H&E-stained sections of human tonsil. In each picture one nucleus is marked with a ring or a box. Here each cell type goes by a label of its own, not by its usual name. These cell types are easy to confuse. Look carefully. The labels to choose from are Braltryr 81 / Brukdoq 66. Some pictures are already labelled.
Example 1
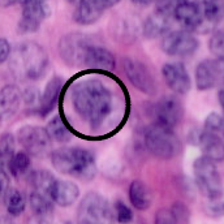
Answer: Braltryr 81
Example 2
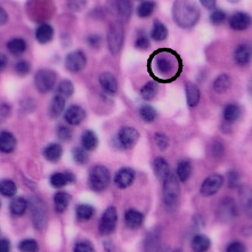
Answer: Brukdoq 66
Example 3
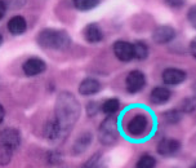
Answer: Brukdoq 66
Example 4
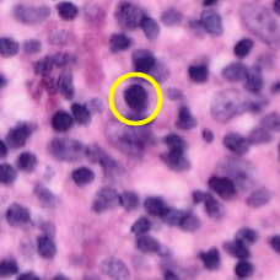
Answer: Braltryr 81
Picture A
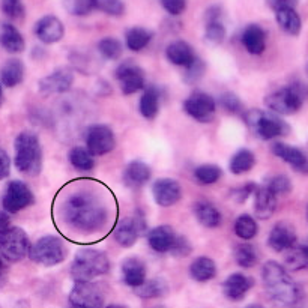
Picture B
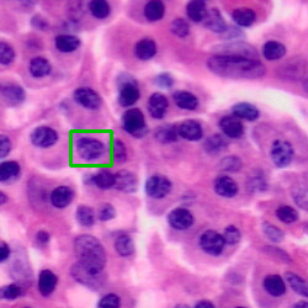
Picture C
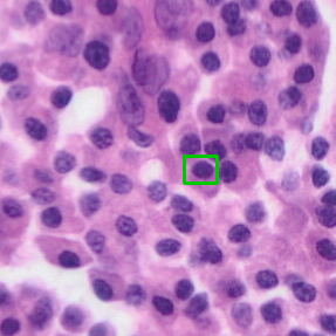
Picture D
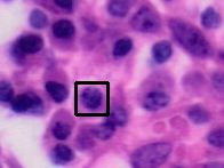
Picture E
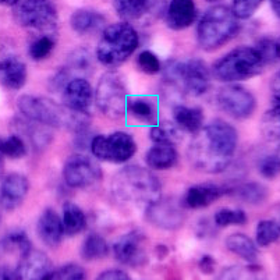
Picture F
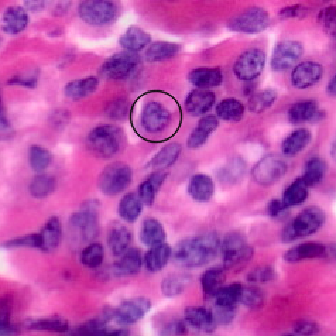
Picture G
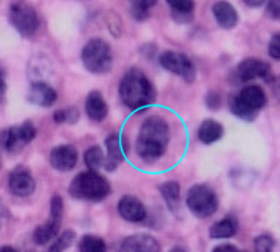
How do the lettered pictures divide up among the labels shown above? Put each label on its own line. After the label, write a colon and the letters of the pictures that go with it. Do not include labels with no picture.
Braltryr 81: A, E, G
Brukdoq 66: B, C, D, F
